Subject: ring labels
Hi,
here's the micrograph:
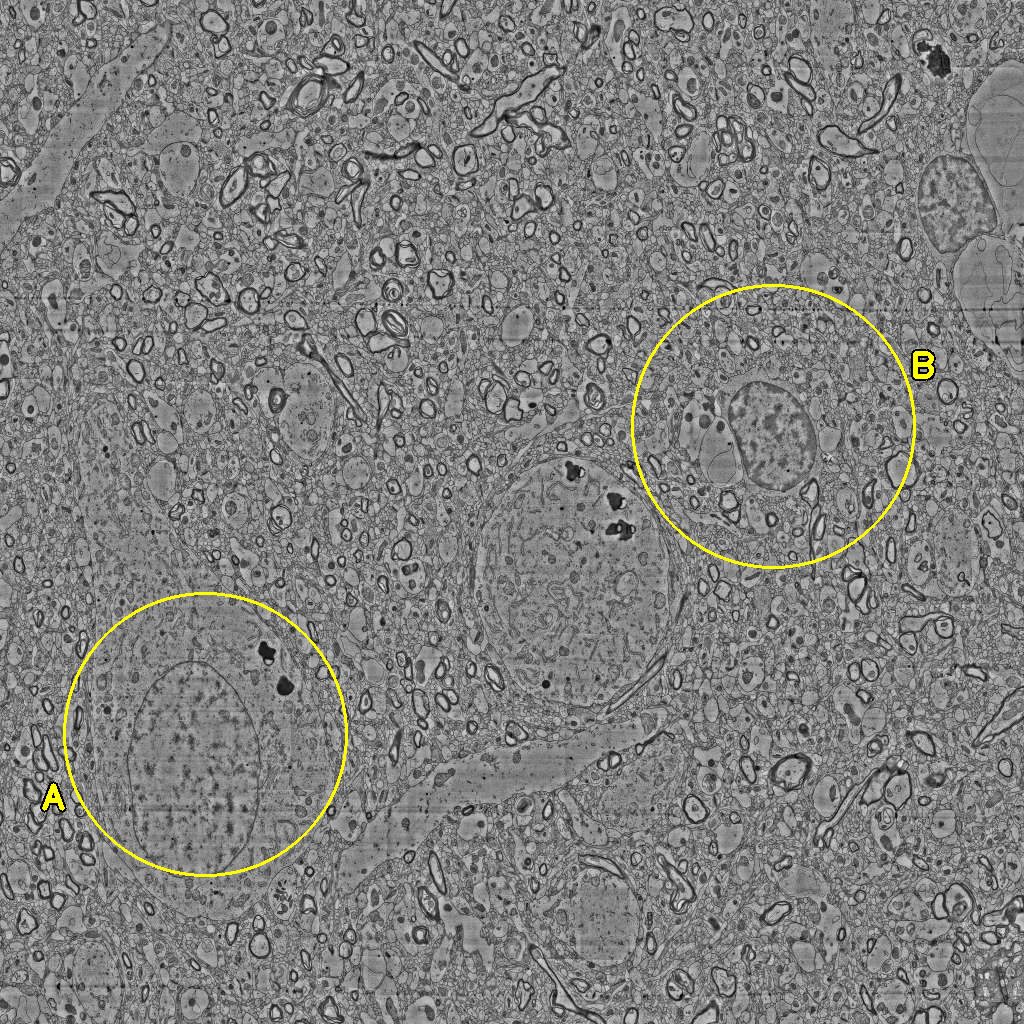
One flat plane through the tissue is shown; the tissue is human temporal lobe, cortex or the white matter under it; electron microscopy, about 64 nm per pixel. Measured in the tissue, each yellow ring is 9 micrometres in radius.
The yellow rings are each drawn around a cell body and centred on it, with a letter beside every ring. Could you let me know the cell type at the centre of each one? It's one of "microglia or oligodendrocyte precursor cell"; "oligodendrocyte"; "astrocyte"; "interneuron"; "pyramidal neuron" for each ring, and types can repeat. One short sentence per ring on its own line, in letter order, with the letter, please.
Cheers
The type at the centre of ring A is a pyramidal neuron.
The type at the centre of ring B is an oligodendrocyte.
